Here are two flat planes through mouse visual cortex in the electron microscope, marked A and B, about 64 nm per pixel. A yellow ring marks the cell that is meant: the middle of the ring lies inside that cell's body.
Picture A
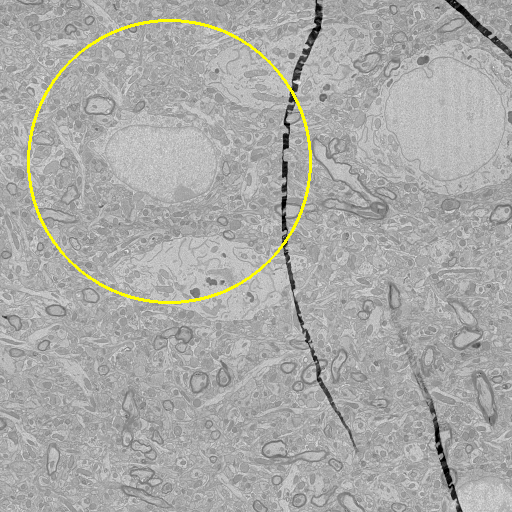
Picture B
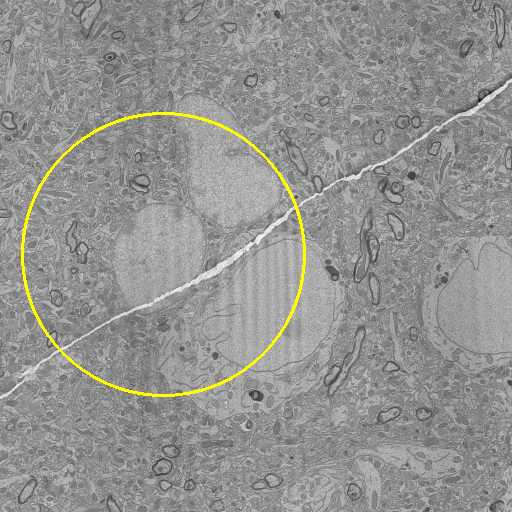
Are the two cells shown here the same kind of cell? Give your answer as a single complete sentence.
Yes, the two pictures both show astrocytes.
